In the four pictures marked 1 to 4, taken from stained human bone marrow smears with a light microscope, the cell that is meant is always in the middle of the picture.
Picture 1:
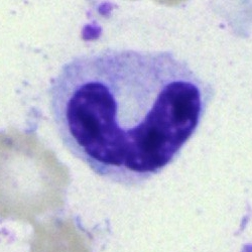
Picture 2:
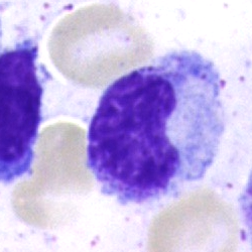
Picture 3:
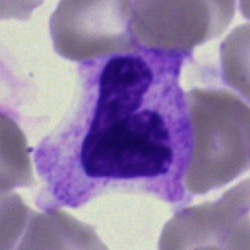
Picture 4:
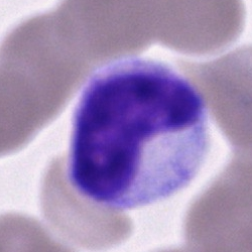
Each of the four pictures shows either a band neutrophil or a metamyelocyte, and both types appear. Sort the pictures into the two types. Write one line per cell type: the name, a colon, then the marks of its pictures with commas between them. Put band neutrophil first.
band neutrophil: 1, 3
metamyelocyte: 2, 4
